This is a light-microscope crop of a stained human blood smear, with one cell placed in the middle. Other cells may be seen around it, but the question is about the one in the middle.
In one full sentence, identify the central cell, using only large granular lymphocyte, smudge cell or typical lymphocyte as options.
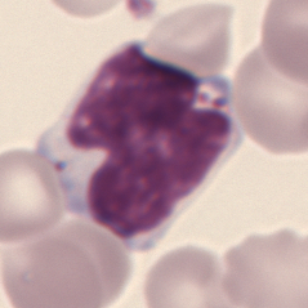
The middle position in this crop is taken by a large granular lymphocyte.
